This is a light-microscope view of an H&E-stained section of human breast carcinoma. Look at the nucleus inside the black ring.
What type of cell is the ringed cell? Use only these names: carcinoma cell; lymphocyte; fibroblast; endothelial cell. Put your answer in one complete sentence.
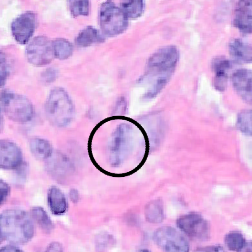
The ringed cell is an endothelial cell.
